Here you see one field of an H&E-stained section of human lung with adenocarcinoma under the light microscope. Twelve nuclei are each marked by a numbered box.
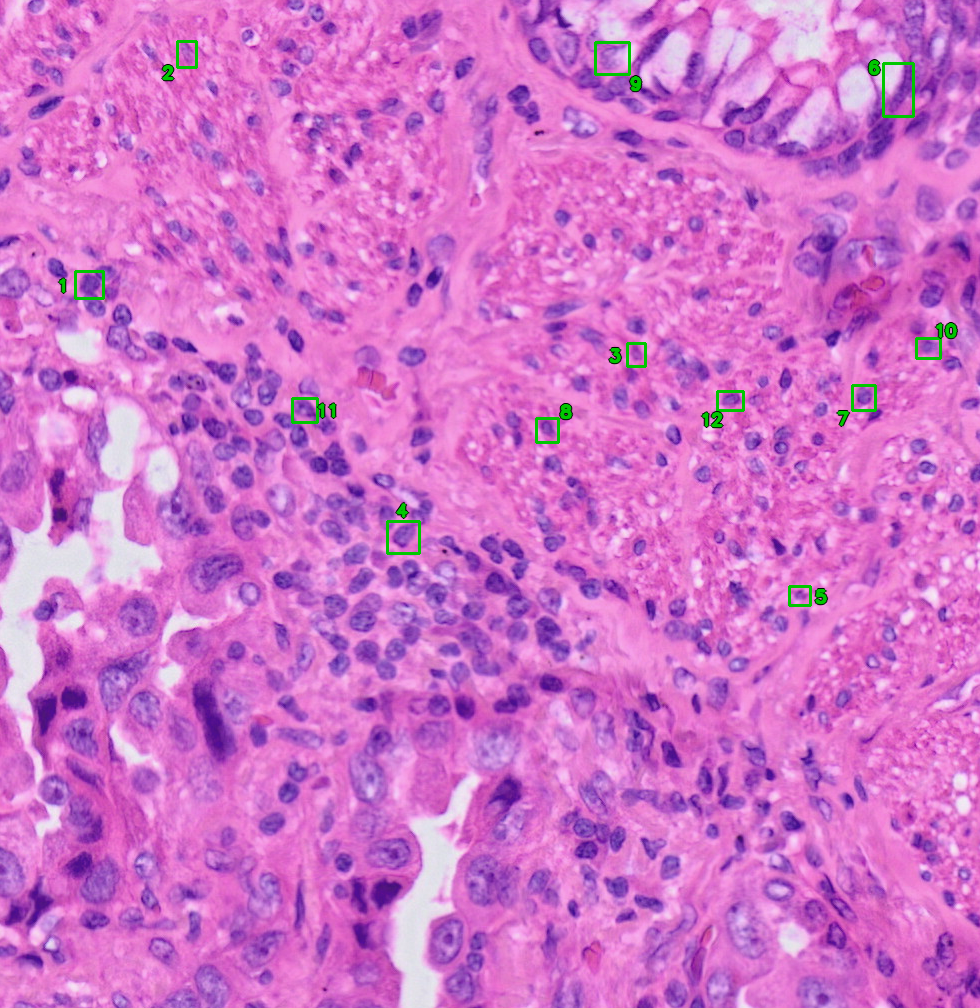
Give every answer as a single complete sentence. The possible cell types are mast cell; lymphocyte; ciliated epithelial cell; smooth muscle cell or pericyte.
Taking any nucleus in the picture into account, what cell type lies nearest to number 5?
Number 5 lies closest to the nucleus of a mast cell.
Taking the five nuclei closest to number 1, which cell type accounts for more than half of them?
Of the five nuclei nearest to number 1, most belong to lymphocytes.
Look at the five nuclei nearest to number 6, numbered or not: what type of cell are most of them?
Of the five nuclei nearest to number 6, most belong to ciliated epithelial cells.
